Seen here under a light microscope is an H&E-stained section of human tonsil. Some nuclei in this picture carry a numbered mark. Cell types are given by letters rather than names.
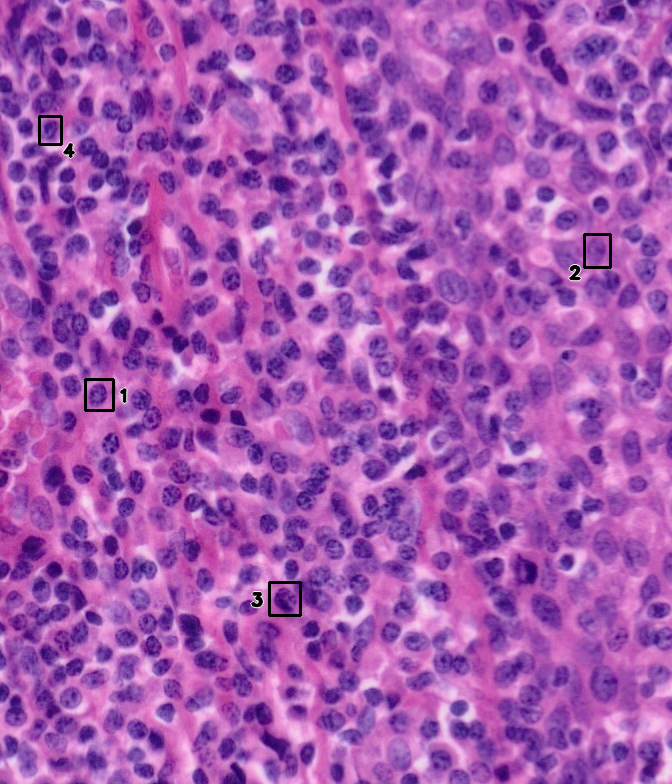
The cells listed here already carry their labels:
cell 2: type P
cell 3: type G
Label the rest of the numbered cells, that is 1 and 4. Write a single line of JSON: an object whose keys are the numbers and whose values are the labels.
{"1": "type G", "4": "type G"}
